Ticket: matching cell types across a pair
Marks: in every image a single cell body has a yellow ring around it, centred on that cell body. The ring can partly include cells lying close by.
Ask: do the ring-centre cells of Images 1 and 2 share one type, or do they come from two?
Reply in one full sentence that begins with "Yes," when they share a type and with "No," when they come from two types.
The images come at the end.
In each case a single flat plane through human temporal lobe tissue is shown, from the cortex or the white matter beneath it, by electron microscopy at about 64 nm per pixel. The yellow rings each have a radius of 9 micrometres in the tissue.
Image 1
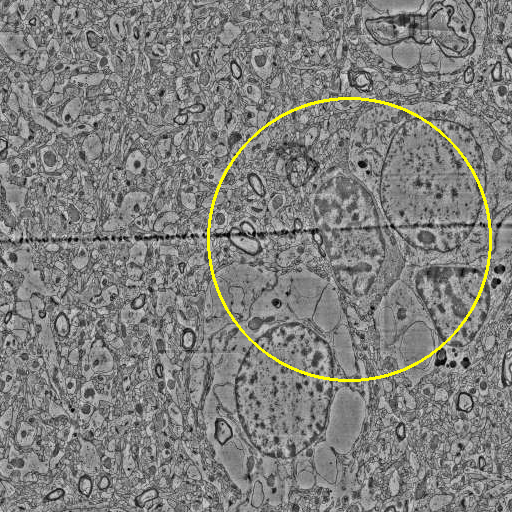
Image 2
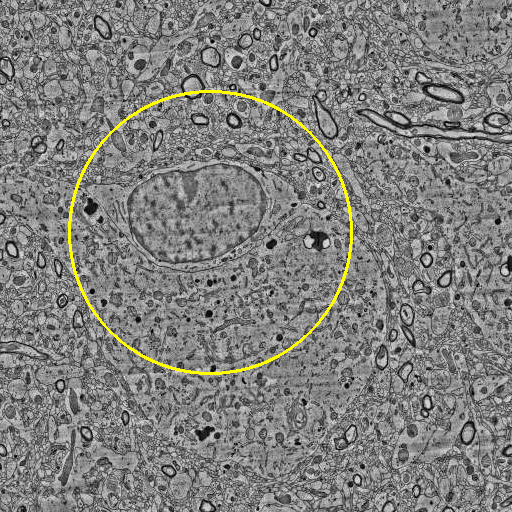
No, the cells in the centres of the rings in Image 1 and Image 2 come from two types.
